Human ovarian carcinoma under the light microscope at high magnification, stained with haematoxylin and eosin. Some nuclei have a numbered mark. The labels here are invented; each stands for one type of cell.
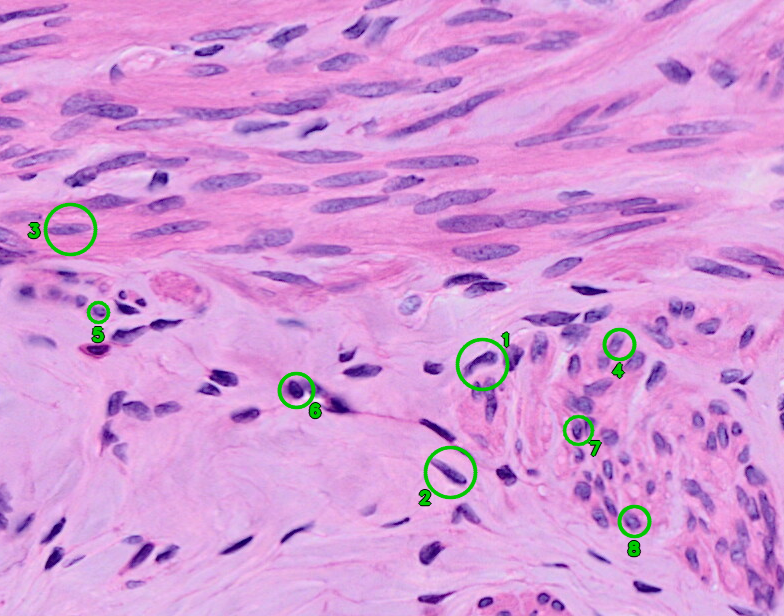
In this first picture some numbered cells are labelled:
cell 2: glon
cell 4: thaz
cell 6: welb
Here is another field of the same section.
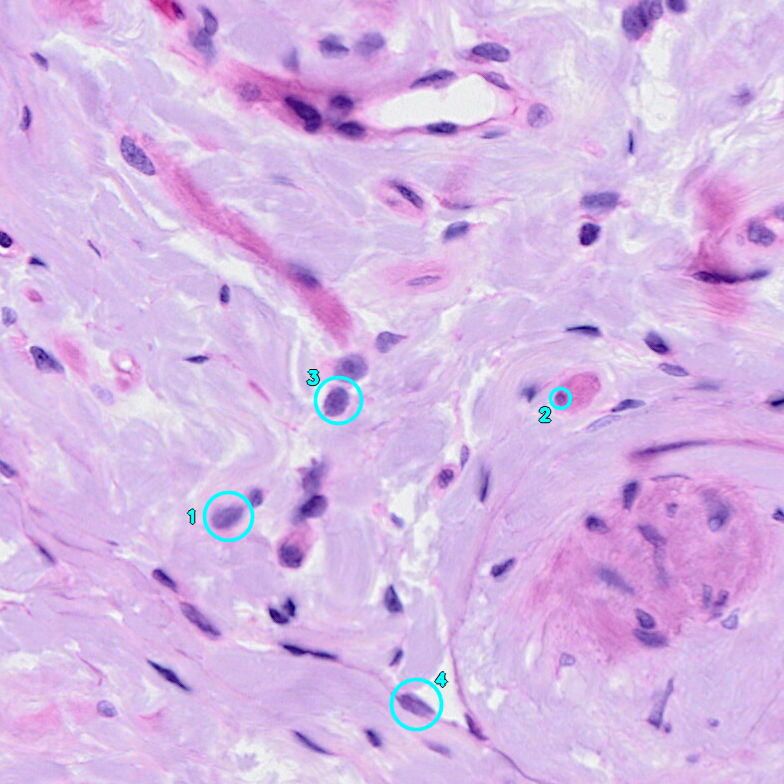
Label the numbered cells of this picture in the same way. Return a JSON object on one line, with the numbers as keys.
{"1": "glon", "2": "thaz", "3": "glon", "4": "glon"}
